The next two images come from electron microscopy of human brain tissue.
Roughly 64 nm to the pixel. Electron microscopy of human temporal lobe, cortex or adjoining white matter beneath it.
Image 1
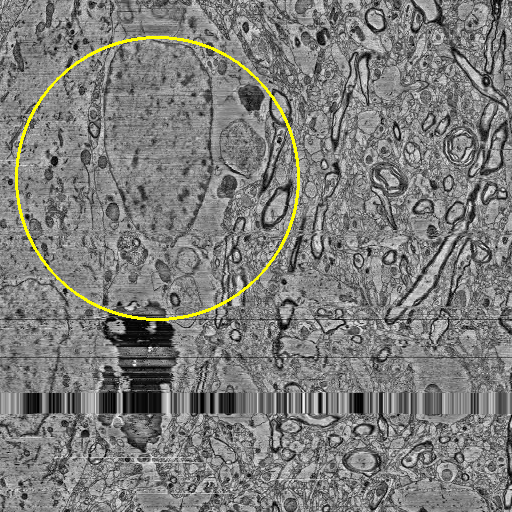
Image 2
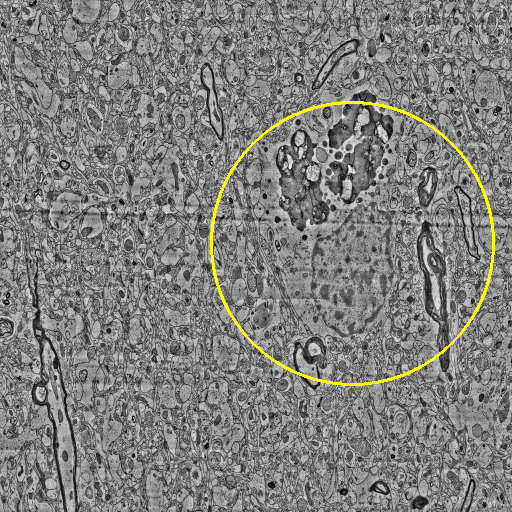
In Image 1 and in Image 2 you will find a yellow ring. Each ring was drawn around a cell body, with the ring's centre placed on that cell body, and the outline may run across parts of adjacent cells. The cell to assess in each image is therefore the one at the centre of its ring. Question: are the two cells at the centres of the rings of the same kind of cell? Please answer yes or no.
yes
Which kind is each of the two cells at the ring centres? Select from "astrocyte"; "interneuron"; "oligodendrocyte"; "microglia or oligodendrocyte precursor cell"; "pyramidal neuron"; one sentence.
Each cell, in the first picture and the second, is an astrocyte.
